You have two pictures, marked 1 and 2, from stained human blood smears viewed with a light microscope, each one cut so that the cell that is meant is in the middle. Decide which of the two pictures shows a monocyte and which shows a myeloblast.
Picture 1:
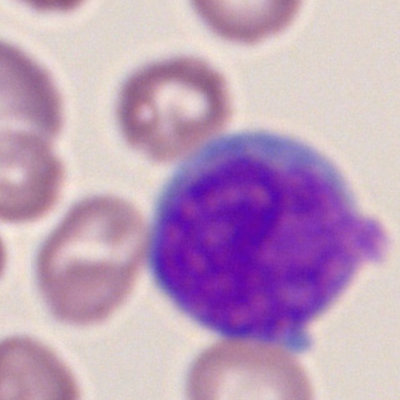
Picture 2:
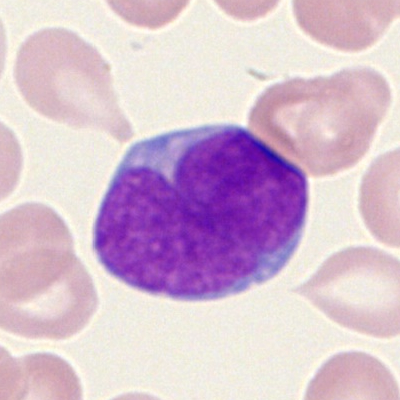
1: monocyte
2: myeloblast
